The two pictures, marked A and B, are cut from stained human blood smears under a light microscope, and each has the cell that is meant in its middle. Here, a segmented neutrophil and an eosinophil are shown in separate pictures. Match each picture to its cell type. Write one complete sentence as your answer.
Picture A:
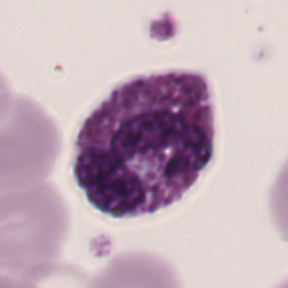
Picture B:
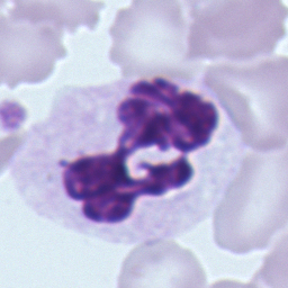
It is picture A that shows an eosinophil, and picture B that shows a segmented neutrophil.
